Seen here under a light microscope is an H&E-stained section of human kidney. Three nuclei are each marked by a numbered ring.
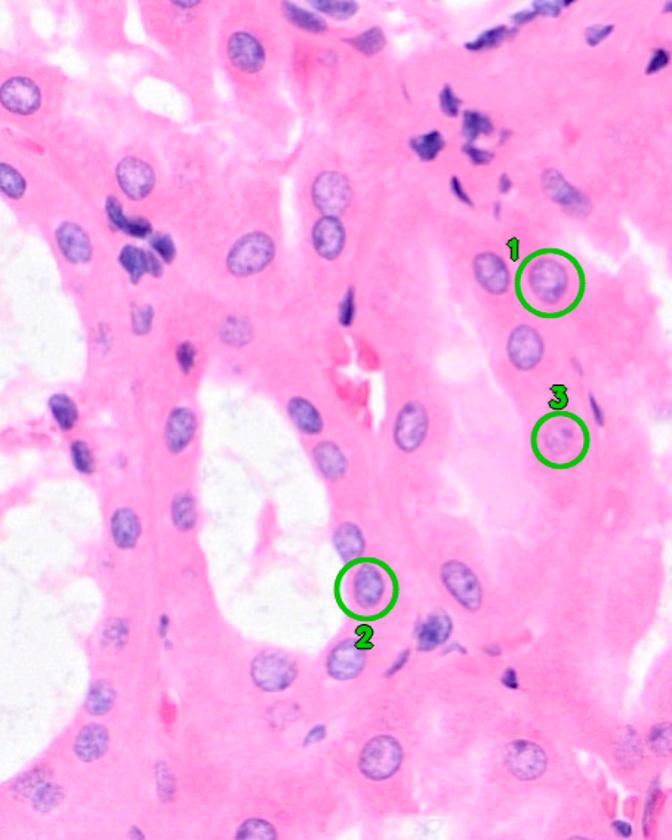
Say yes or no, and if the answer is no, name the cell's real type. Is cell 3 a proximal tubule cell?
Yes.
